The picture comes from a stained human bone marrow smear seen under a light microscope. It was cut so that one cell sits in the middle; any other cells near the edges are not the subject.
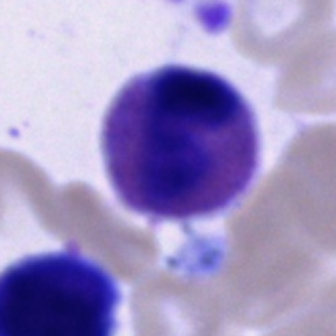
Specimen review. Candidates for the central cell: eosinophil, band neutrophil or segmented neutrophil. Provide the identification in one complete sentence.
The central cell, amid any neighbouring cells, is an eosinophil.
